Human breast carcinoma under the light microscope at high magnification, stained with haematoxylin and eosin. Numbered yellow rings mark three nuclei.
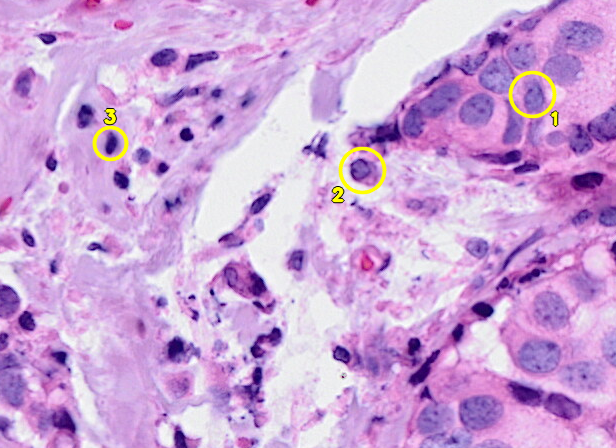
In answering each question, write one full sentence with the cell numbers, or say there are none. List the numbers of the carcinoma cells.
Only the cell numbered 1 qualifies as a carcinoma cell among the marked cells.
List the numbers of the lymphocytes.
Of all the cells bearing numbers, cell 3 is the only one that is a lymphocyte.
